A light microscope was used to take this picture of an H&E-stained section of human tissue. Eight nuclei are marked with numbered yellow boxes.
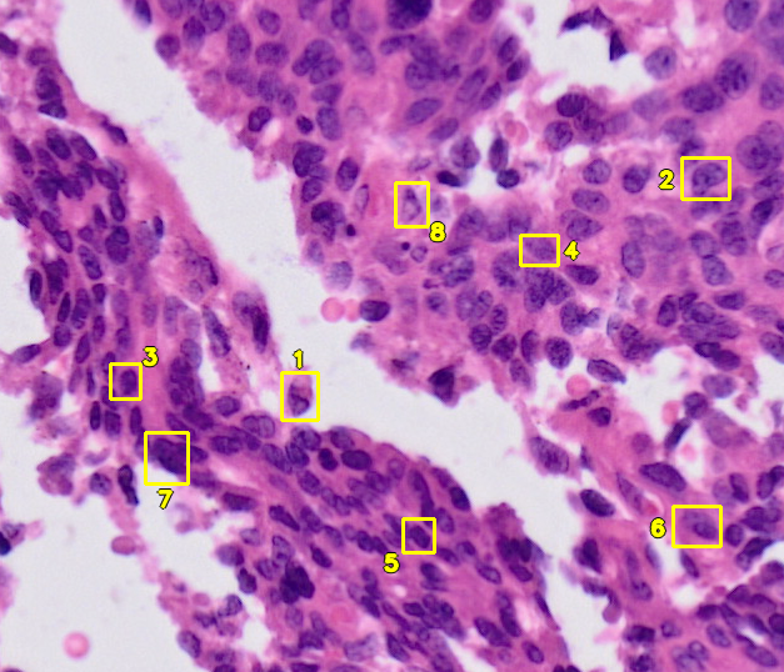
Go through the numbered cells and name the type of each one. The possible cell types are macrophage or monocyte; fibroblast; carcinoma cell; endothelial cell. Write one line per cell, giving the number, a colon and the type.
1: macrophage or monocyte
2: macrophage or monocyte
3: carcinoma cell
4: carcinoma cell
5: carcinoma cell
6: carcinoma cell
7: carcinoma cell
8: macrophage or monocyte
